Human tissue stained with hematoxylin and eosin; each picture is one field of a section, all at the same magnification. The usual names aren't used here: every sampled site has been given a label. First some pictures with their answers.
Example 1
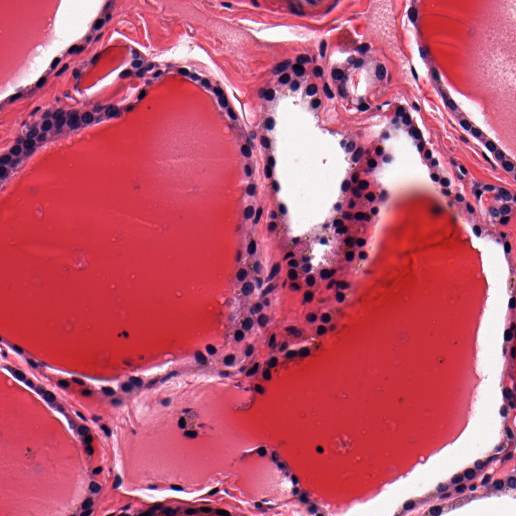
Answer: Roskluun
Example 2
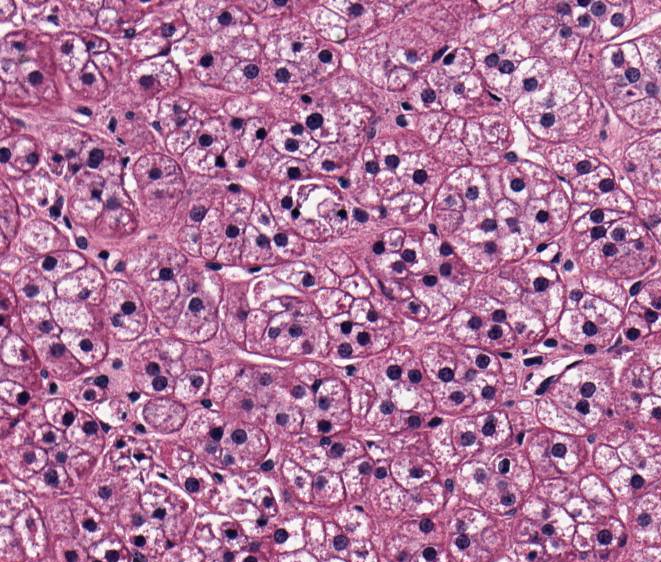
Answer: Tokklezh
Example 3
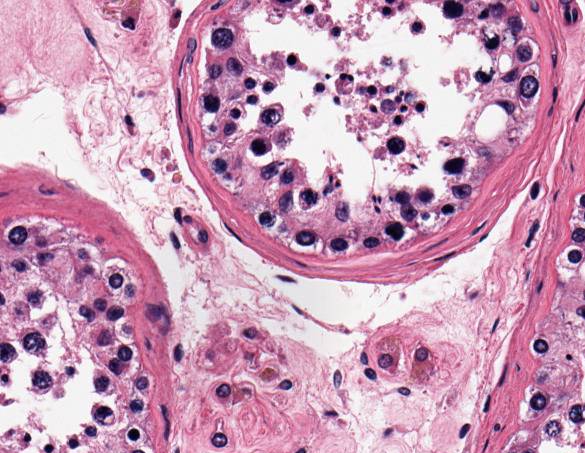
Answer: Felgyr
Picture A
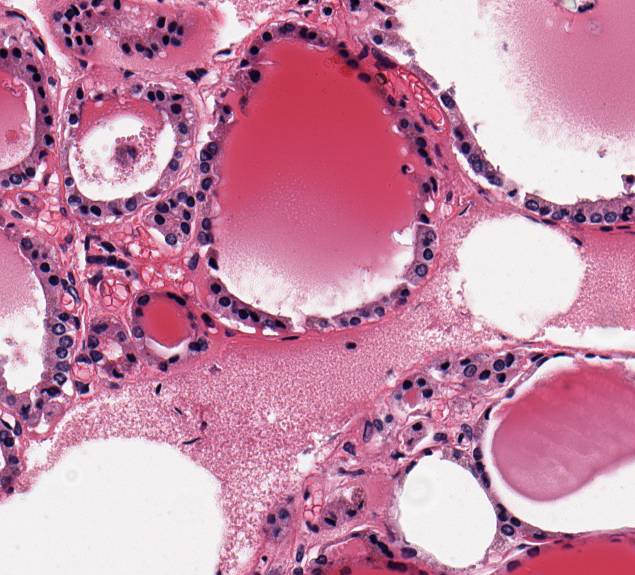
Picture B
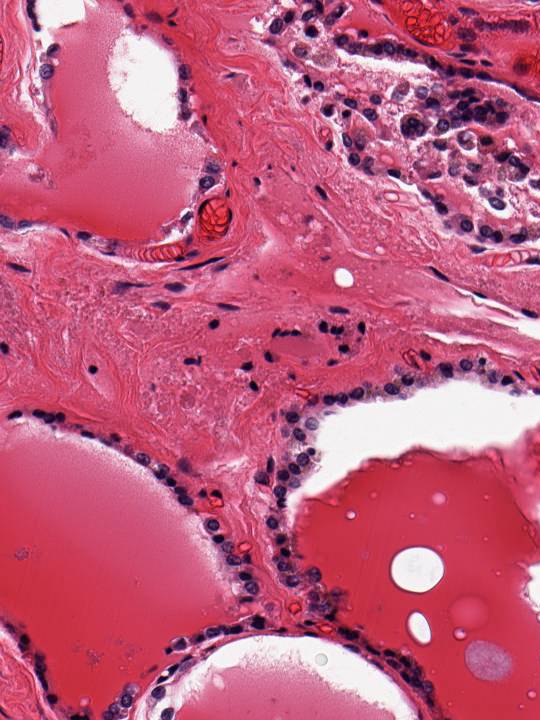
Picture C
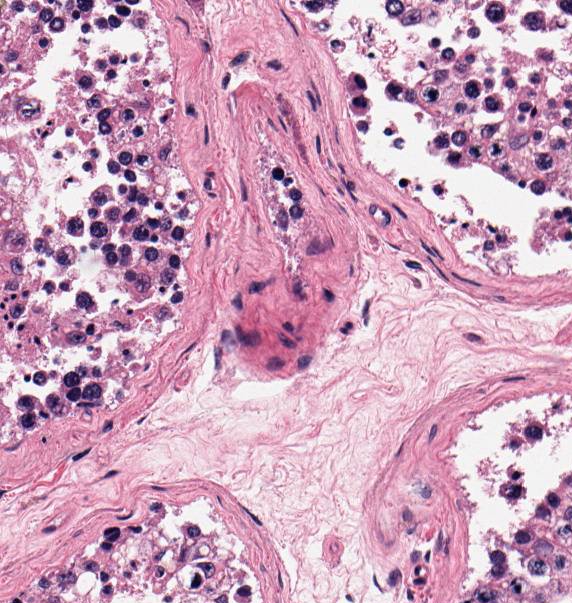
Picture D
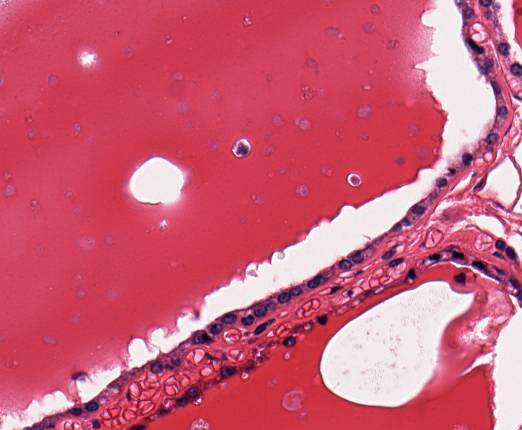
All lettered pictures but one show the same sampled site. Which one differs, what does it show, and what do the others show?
Odd one out: C (Felgyr). The rest: Roskluun.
